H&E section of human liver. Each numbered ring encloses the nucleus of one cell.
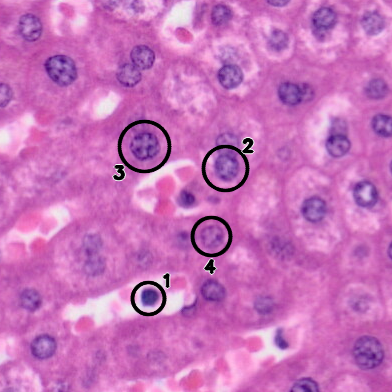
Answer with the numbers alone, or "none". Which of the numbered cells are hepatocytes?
2, 3, 4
